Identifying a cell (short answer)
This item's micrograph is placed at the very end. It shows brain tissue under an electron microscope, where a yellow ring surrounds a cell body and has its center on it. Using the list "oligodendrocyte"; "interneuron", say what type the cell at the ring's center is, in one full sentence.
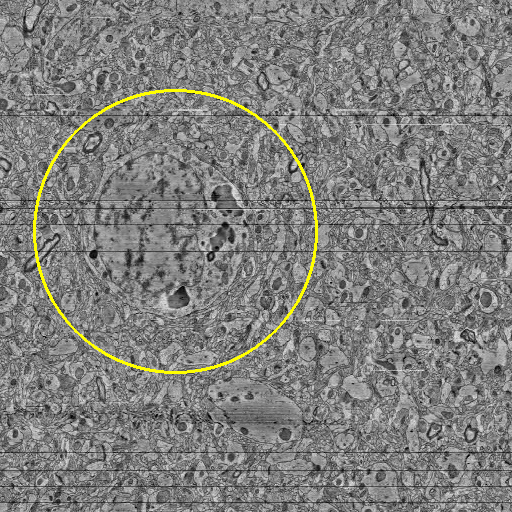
This picture shows an interneuron at the center of the yellow ring drawn on it.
